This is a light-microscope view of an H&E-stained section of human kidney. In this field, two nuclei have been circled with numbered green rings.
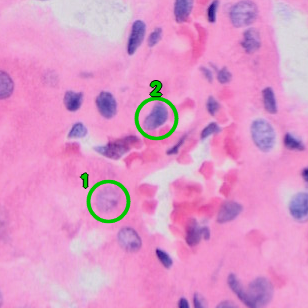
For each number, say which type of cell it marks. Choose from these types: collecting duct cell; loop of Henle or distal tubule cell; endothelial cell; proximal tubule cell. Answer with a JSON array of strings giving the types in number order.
["proximal tubule cell", "endothelial cell"]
